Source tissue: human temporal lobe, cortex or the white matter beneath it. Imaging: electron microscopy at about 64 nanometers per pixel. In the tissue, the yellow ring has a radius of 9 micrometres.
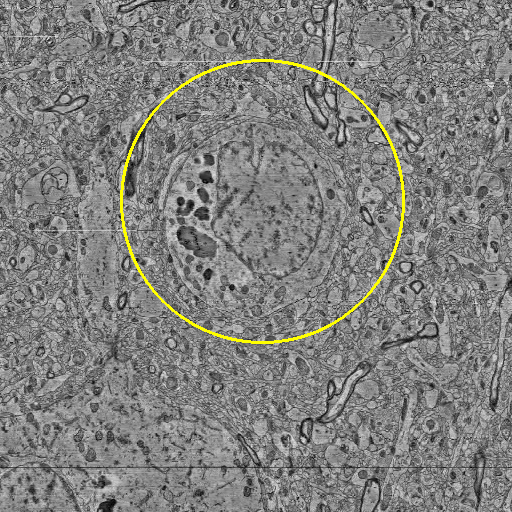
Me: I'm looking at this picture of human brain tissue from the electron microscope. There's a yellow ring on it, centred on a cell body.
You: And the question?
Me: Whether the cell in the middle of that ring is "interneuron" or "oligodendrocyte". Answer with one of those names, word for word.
interneuron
